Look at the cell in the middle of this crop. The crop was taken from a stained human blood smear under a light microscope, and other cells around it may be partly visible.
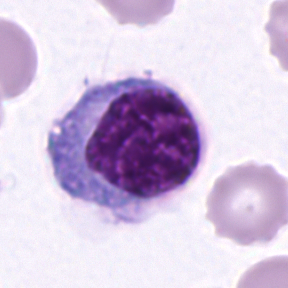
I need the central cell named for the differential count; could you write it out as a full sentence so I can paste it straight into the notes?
Classification of the middle cell gives a plasma cell.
